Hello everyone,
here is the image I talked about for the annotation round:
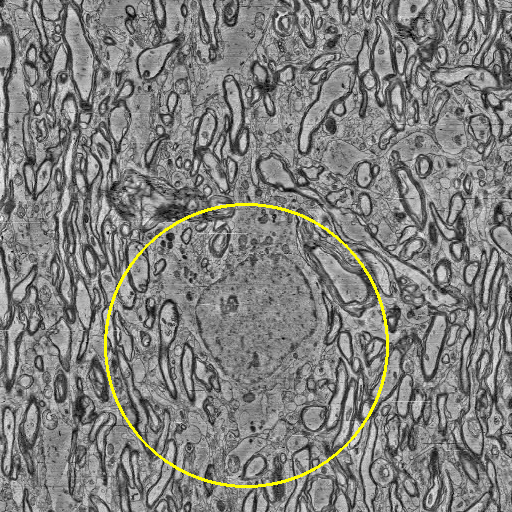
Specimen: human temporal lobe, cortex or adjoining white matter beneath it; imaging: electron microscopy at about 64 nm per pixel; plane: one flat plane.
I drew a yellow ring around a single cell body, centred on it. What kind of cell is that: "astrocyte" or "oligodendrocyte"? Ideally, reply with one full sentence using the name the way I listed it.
The cell your yellow ring is centred on is an astrocyte, going by your list.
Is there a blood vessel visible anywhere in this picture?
No, the image shows no blood vessel.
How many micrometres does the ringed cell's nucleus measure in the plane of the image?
The nucleus has a long axis of about 9 micrometres and a short axis of about 8 micrometres in this plane.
